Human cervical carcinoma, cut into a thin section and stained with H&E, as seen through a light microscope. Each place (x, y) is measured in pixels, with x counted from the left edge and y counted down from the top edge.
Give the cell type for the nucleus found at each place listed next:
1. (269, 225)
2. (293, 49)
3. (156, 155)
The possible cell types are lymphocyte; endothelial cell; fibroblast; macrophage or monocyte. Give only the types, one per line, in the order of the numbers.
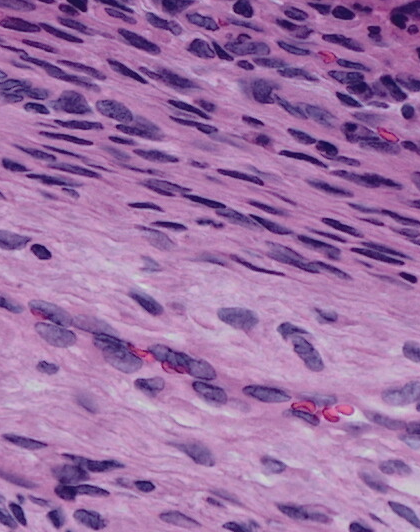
fibroblast
endothelial cell
fibroblast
